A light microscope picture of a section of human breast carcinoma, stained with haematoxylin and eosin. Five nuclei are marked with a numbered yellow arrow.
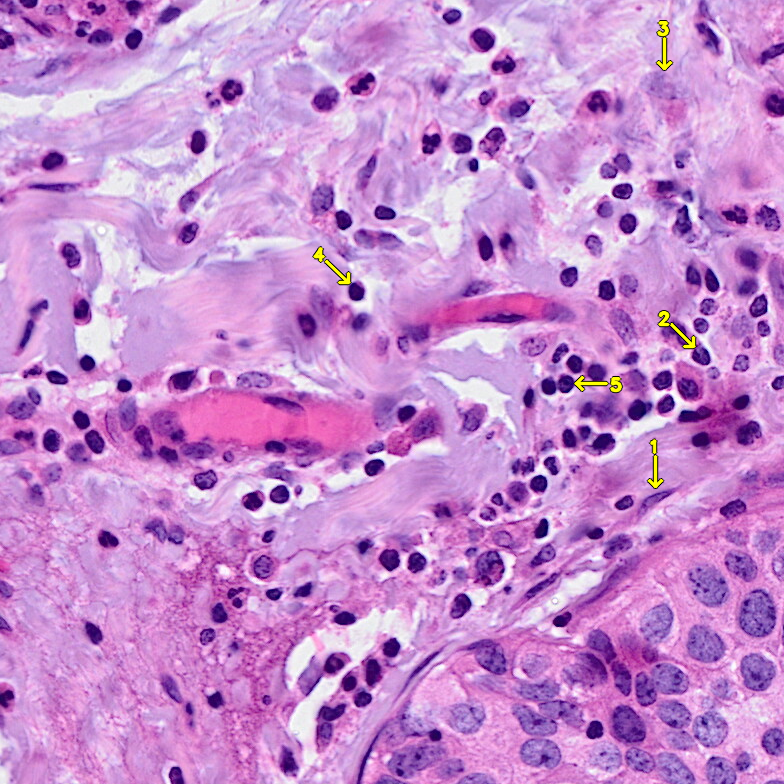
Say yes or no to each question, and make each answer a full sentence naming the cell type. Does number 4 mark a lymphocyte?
Yes, regarding cell number 4, it is a lymphocyte.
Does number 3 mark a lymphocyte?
No, the cell under number 3 is a fibroblast instead of a lymphocyte.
